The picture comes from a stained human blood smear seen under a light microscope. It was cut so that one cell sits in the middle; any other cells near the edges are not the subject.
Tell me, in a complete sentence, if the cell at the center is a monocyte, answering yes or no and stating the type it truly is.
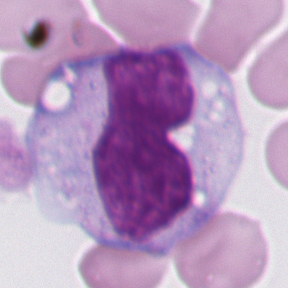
Yes, the cell placed centrally within the crop is a monocyte.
